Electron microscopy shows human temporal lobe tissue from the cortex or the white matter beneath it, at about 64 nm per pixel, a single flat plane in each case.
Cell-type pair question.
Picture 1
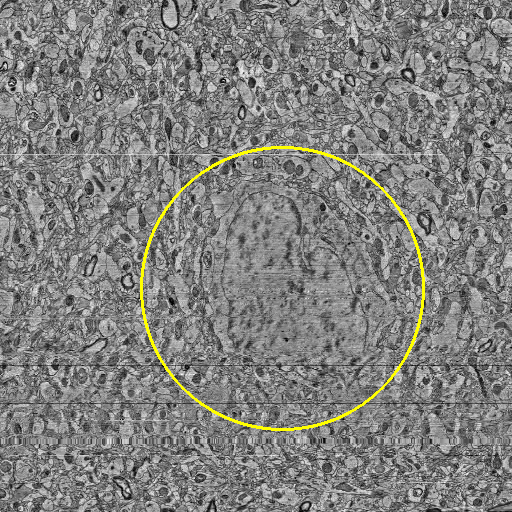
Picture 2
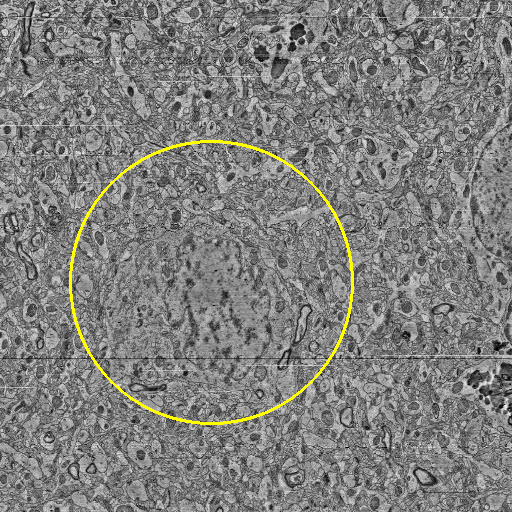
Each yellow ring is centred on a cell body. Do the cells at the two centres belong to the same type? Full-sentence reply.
Yes, the two cells belong to the same type.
